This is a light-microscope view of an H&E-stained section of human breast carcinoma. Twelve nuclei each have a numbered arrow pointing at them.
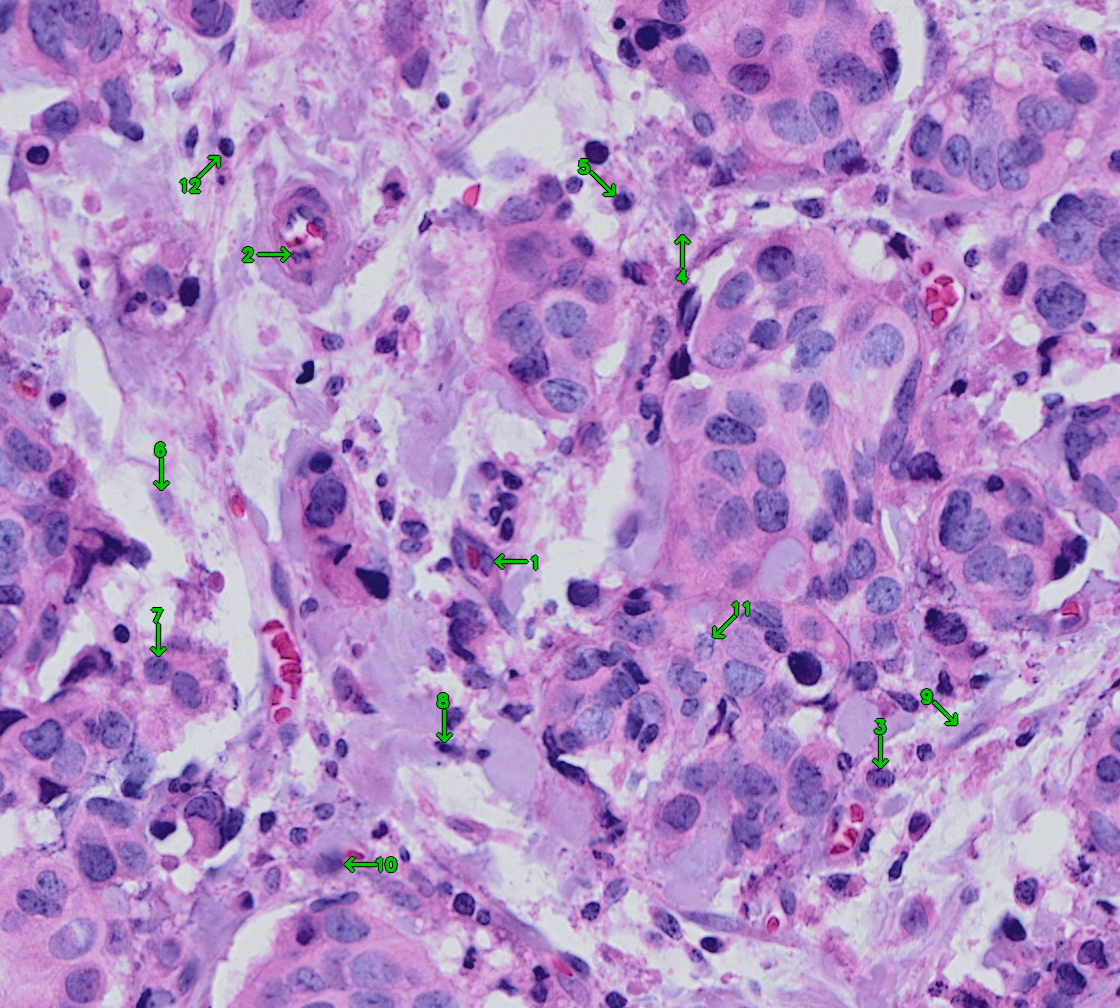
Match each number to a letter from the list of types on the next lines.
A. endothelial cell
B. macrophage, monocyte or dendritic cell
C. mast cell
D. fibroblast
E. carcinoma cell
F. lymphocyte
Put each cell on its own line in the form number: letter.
1: A
2: A
3: C
4: D
5: F
6: D
7: E
8: F
9: D
10: A
11: E
12: F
